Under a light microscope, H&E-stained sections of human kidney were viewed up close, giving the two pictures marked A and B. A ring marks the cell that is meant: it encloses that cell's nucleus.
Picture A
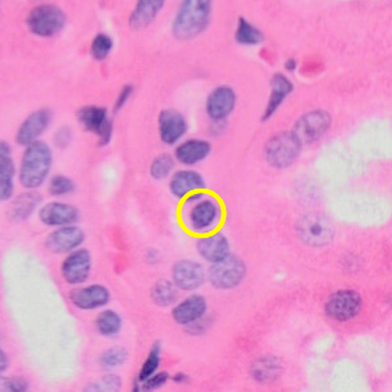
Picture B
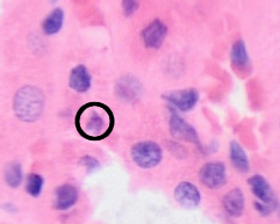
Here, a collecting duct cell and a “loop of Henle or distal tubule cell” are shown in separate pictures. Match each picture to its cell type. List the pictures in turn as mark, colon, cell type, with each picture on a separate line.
A: collecting duct cell
B: loop of Henle or distal tubule cell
